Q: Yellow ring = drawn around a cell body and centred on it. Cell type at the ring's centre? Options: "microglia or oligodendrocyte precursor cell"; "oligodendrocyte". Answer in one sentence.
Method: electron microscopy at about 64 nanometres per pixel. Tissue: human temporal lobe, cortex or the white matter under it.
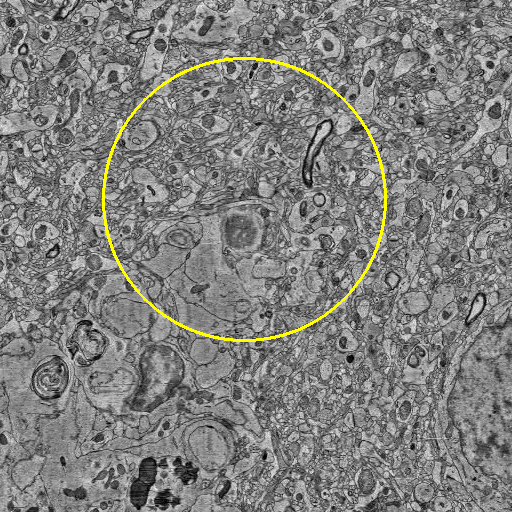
Centred in the ring is an oligodendrocyte.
